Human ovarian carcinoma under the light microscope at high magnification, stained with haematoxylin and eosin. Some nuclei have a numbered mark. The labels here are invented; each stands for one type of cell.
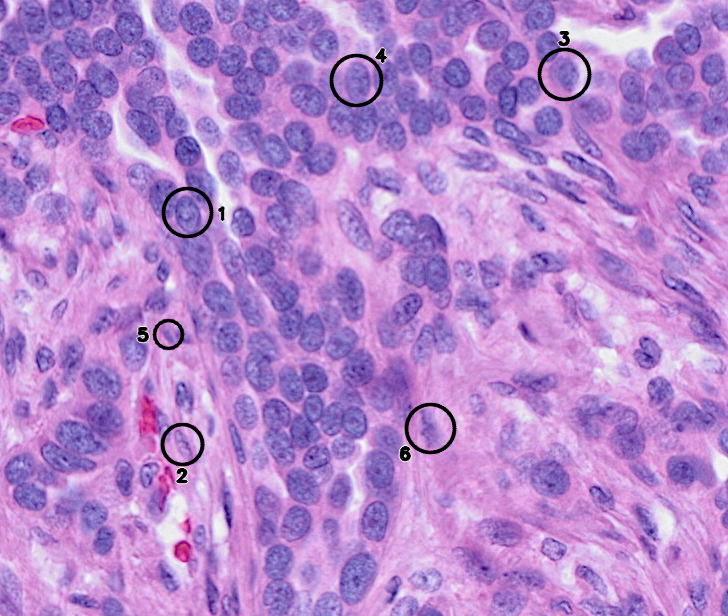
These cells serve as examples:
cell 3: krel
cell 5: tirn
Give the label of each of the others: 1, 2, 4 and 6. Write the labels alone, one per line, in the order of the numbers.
krel
tirn
krel
tirn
